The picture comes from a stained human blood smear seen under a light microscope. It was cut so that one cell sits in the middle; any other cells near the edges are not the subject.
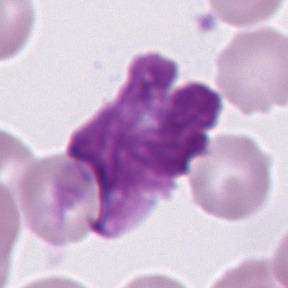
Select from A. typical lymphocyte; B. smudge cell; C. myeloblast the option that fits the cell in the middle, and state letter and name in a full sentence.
The middle cell of the crop is a smudge cell; accordingly, option B is correct.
